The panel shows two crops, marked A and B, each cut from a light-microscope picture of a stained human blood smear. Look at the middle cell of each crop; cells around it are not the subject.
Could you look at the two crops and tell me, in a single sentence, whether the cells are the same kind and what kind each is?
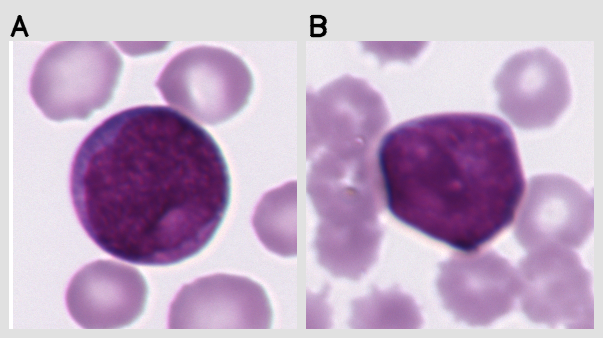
Yes, myeloblasts are depicted in both crops.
